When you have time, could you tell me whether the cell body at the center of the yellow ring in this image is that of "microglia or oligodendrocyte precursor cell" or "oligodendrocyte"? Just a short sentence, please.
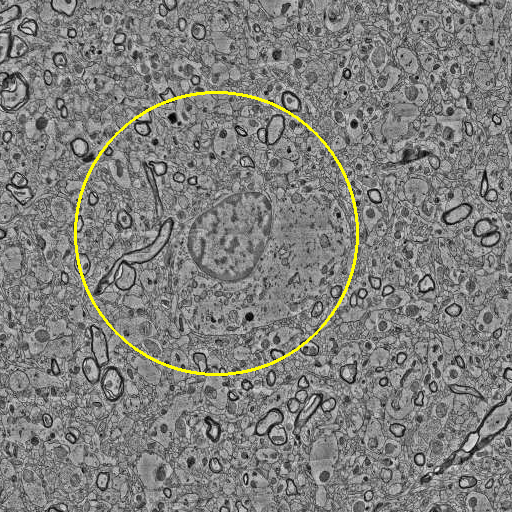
The cell body at the center of the ring is that of a microglial cell or oligodendrocyte precursor cell.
